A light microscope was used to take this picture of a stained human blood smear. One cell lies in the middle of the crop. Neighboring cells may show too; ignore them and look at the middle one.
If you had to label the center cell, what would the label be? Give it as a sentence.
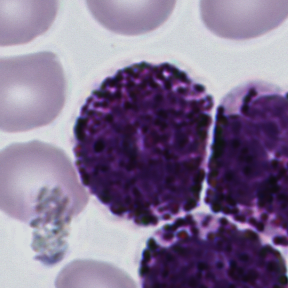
The centrally placed cell is classified as a basophil.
